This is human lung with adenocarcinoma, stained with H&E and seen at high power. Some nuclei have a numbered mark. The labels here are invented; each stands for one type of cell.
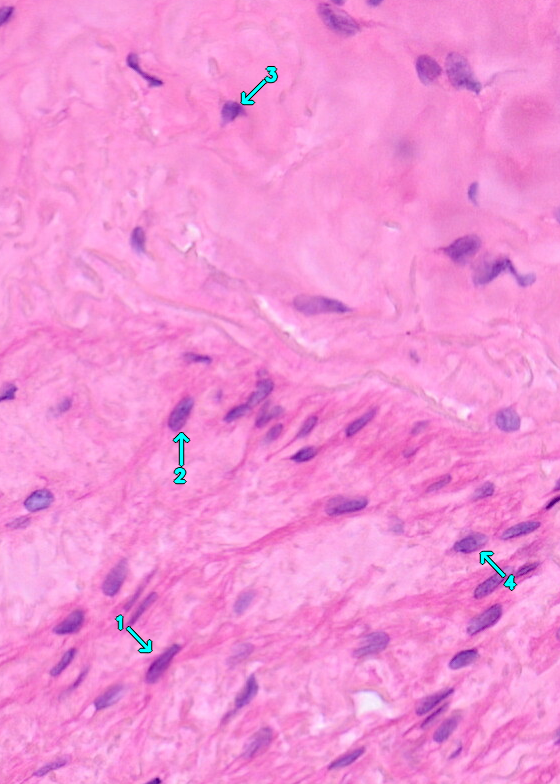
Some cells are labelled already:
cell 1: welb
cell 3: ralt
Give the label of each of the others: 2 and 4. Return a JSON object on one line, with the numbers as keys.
{"2": "welb", "4": "welb"}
